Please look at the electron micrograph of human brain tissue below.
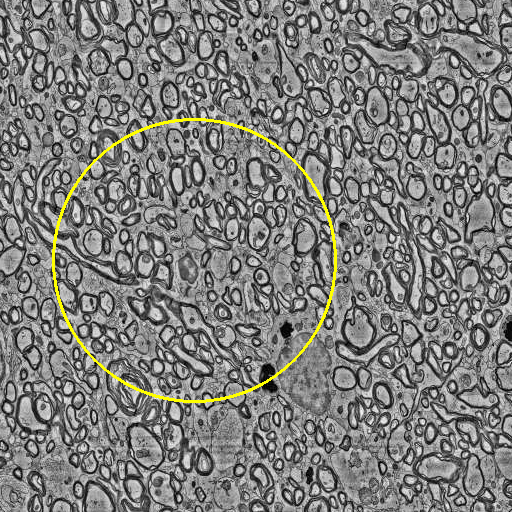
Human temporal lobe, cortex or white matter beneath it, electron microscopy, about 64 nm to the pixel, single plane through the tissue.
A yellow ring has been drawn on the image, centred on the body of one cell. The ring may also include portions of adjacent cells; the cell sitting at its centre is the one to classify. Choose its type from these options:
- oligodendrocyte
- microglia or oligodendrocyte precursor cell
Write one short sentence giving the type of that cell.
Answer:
The cell in the middle of the ring is a microglial cell or oligodendrocyte precursor cell.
